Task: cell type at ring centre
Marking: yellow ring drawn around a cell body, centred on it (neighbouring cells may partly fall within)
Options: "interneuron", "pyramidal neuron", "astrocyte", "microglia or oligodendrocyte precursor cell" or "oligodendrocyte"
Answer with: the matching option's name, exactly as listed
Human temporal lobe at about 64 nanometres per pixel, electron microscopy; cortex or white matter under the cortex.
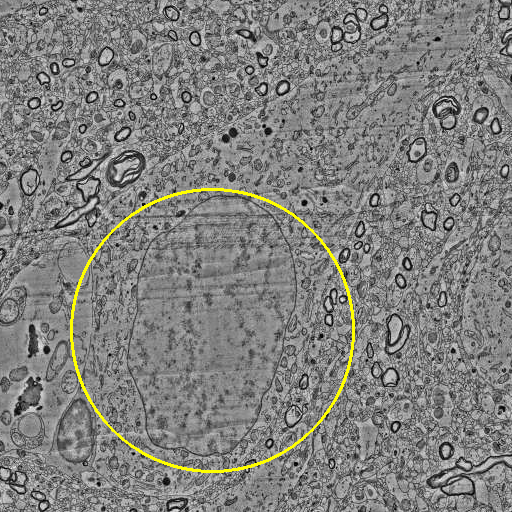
pyramidal neuron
